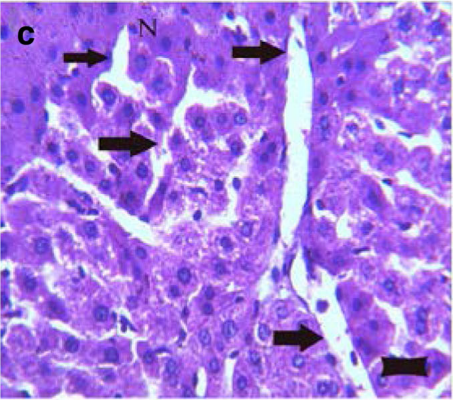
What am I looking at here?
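Liver tissue in which the hepatocyte cords are disrupted by several long, empty, sharp-edged slit-like clefts. Hepatocytes beside the clefts are irregular and separated, with some shrunken cells and dark or faded nuclei, while cells farther away keep pink cytoplasm and round nuclei.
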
